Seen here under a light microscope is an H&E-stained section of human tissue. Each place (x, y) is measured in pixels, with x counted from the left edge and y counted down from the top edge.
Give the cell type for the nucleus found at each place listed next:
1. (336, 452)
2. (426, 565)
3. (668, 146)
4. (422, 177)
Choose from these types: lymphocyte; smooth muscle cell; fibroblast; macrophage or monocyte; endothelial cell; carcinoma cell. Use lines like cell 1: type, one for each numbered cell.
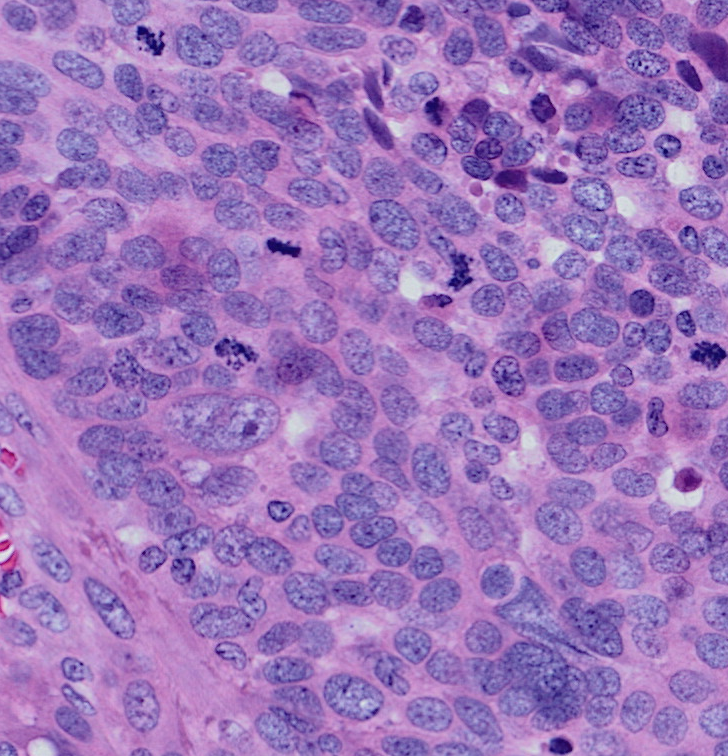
cell 1: carcinoma cell
cell 2: carcinoma cell
cell 3: macrophage or monocyte
cell 4: carcinoma cell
